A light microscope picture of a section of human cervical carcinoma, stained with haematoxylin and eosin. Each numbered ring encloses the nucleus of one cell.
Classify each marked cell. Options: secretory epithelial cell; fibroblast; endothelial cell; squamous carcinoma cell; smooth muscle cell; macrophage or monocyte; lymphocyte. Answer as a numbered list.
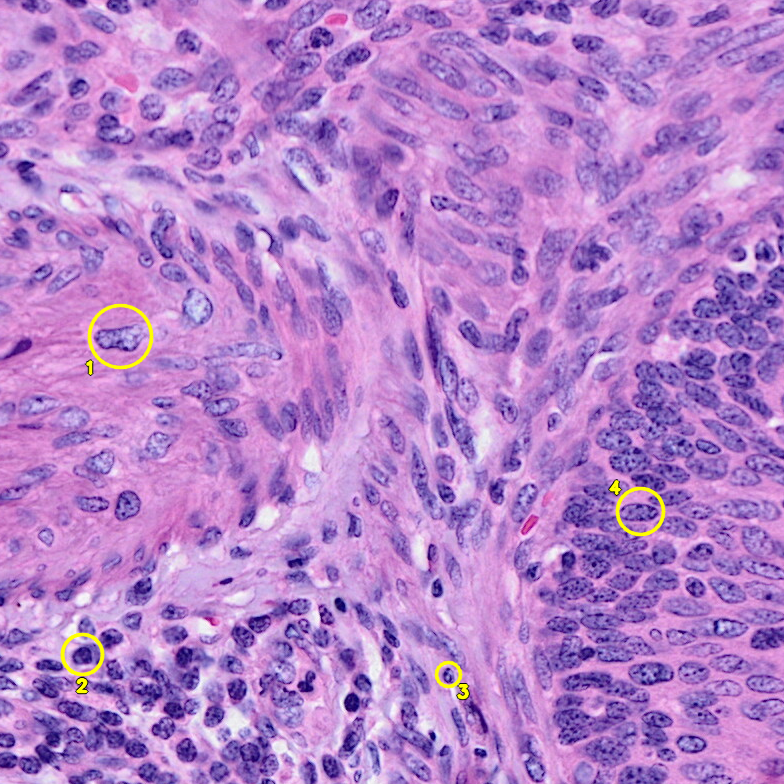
1. smooth muscle cell
2. lymphocyte
3. lymphocyte
4. squamous carcinoma cell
